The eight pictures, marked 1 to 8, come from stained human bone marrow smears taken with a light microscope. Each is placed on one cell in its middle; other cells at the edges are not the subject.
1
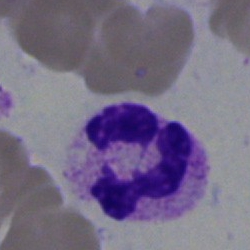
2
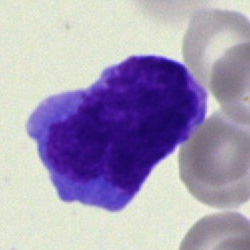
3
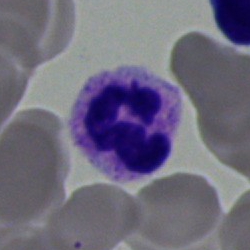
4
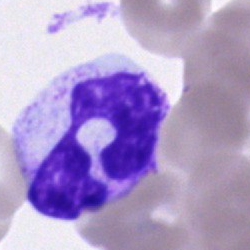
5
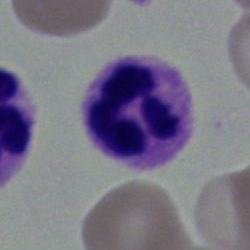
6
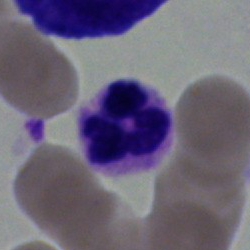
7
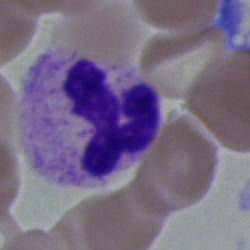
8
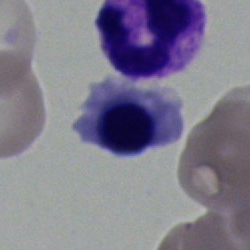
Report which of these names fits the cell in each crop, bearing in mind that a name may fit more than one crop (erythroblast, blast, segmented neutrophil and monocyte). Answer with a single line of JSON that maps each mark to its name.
{"1": "segmented neutrophil", "2": "blast", "3": "segmented neutrophil", "4": "segmented neutrophil", "5": "segmented neutrophil", "6": "segmented neutrophil", "7": "segmented neutrophil", "8": "erythroblast"}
